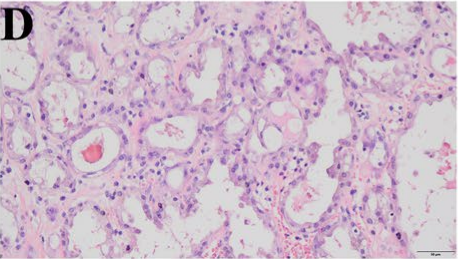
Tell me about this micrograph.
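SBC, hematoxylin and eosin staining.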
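Tumour cells with small round nuclei and pale pink cytoplasm line many open, irregular spaces and tubules, set in loose pale stroma. Some lumina hold pink to red material, and vacuoles are also seen within cells. This is a tubular area of the carcinoma with intracellular and extracellular eosinophilic vacuoles.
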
